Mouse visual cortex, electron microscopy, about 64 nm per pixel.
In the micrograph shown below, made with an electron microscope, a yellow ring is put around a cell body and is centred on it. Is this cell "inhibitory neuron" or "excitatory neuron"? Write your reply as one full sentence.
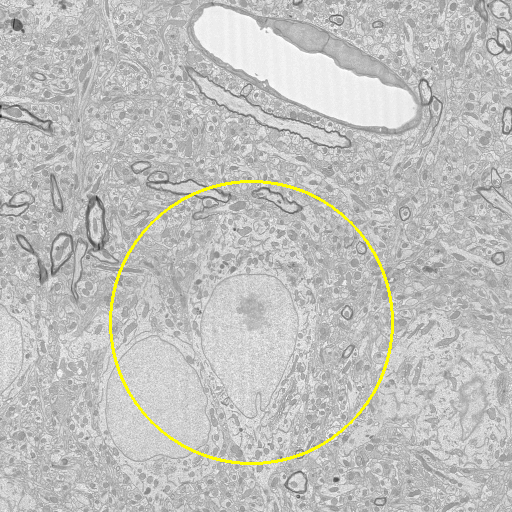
In the micrograph, an inhibitory neuron is the cell at the centre of the yellow ring.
